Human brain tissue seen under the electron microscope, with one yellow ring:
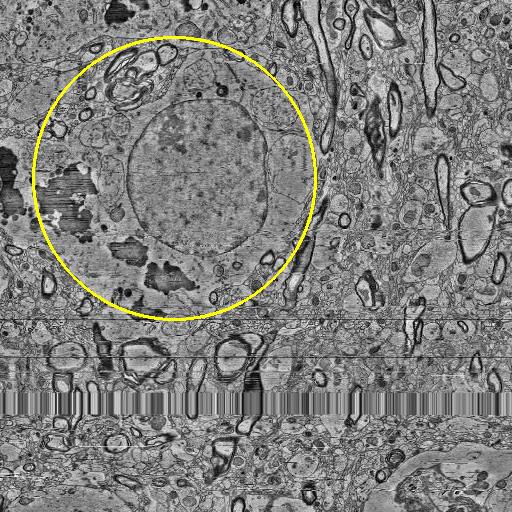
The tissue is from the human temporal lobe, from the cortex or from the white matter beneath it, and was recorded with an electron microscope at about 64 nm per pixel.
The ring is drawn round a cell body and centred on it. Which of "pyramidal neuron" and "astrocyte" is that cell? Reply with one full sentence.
The picture shows an astrocyte at the very centre of the yellow ring.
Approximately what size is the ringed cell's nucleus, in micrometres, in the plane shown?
Approximately 10 micrometres long and 9 micrometres wide, in this plane.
